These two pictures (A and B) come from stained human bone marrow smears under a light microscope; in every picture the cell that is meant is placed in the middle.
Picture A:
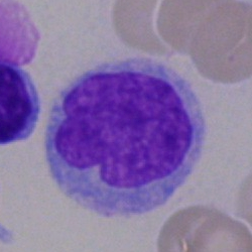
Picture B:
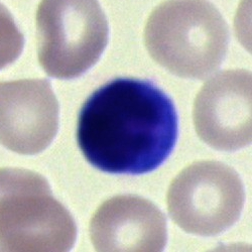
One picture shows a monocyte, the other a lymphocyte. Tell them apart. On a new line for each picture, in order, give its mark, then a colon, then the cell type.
A: monocyte
B: lymphocyte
